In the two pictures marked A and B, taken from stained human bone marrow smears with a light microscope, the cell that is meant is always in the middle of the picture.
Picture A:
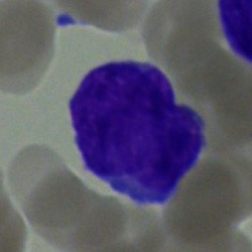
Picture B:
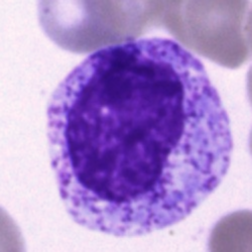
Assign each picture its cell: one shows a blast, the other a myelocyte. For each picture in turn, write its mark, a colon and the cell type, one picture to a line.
A: blast
B: myelocyte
